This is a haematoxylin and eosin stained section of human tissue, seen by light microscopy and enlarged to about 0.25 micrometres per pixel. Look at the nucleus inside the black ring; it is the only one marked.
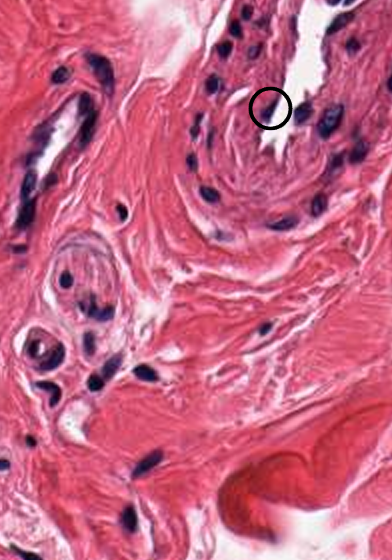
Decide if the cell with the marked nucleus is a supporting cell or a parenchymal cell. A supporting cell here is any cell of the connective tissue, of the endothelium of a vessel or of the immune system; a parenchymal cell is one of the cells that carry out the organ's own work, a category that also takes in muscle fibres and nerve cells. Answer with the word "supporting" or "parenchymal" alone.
supporting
